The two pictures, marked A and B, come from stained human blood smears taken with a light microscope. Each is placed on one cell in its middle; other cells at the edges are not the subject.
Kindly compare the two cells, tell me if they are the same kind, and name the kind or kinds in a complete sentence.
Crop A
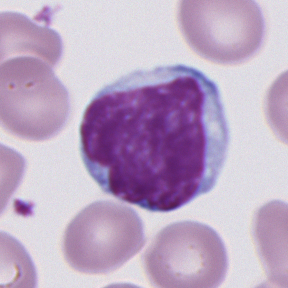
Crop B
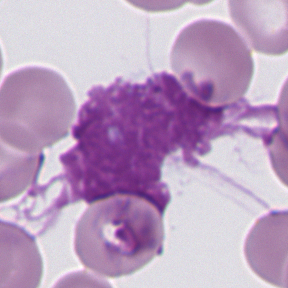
No, in fact crop A shows a typical lymphocyte, and crop B shows a smudge cell.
